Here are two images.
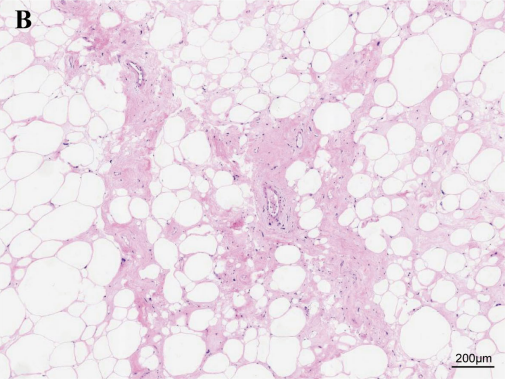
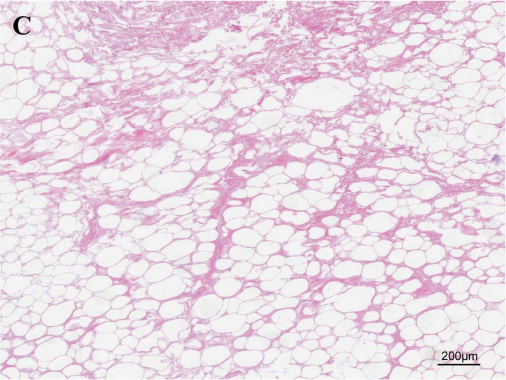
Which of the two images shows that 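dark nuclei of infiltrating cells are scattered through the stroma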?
the first image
